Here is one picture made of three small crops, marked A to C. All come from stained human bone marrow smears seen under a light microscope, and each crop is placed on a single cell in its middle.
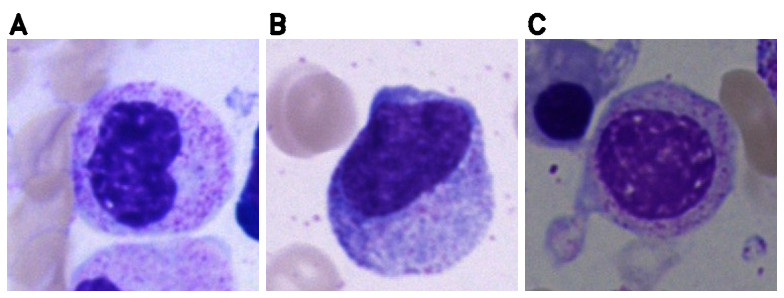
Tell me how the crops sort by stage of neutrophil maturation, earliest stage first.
B, C, A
